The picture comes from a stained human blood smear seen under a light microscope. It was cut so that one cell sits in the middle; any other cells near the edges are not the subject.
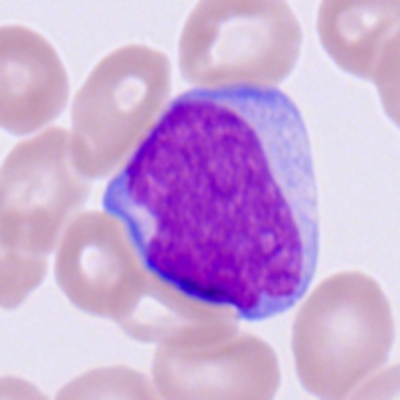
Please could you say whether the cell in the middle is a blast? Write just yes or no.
yes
